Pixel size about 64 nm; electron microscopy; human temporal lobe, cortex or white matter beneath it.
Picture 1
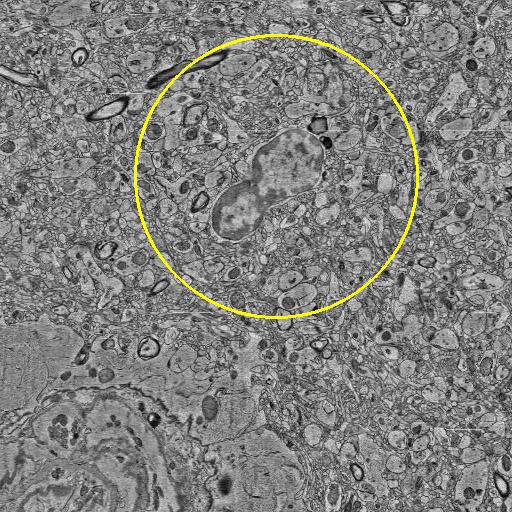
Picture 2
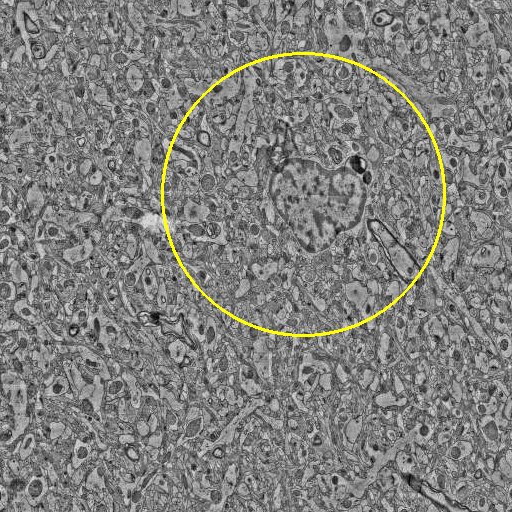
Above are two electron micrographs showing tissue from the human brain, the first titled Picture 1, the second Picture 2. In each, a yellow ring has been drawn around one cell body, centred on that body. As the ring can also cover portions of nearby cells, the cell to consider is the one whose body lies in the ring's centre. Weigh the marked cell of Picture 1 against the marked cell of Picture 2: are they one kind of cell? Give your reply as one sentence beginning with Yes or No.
Yes, the two cells sitting at the ring centres in the pictures are of one kind.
